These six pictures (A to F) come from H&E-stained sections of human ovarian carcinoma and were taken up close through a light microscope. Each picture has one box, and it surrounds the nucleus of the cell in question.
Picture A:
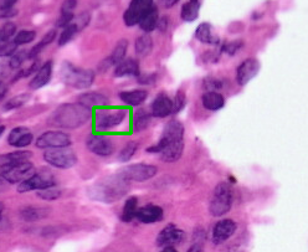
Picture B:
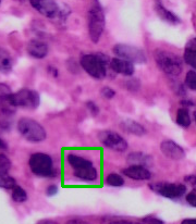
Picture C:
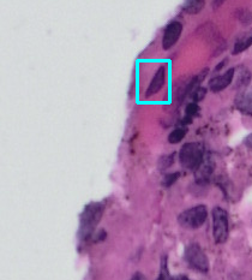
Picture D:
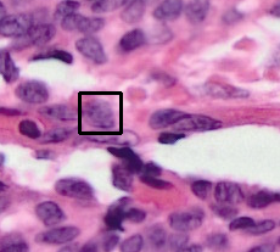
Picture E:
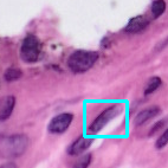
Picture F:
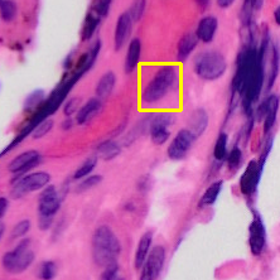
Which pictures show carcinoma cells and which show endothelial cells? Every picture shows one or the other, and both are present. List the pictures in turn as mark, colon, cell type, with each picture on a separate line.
A: carcinoma cell
B: carcinoma cell
C: endothelial cell
D: endothelial cell
E: endothelial cell
F: endothelial cell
